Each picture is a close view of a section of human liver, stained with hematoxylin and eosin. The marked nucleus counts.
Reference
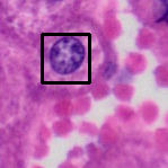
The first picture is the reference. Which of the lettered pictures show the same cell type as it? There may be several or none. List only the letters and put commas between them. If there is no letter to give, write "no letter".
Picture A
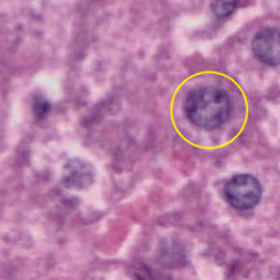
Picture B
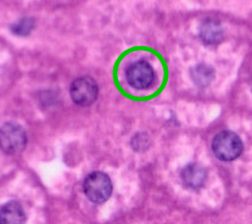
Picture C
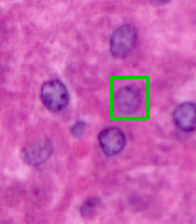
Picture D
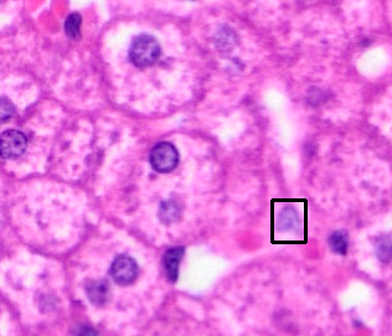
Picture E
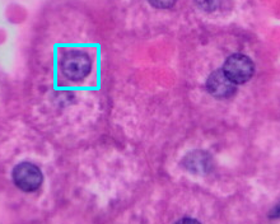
A, B, C, E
